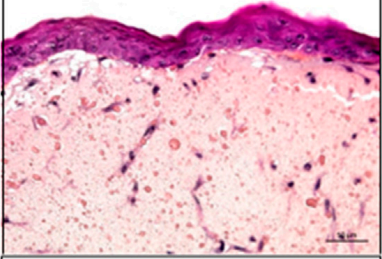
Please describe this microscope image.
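A skin equivalent whose epidermis is a thin band of keratinocytes over a pale dermal matrix. The epidermal layer has only a few cell layers, with crowded purple nuclei giving it a darker, bluish appearance and only a narrow pink surface zone. Beneath it a pale gap separates the epidermis from the dermal compartment in places. The dermis is pale pink and finely granular, containing sparse fibroblasts with elongated, spindle-shaped purple nuclei and a few thin cell processes, scattered widely apart.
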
